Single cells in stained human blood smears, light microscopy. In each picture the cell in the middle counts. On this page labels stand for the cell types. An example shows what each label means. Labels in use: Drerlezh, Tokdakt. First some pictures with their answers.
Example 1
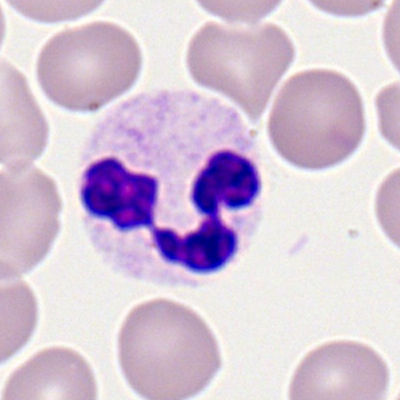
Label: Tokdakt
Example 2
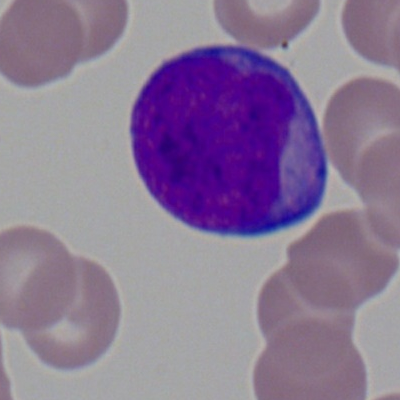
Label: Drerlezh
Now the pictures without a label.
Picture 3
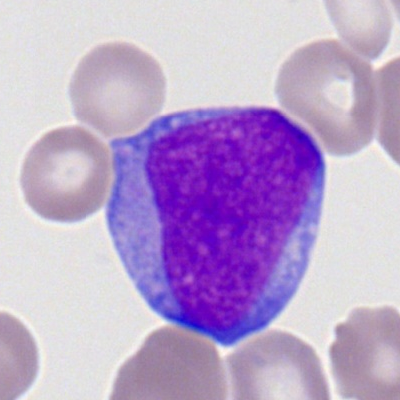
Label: Drerlezh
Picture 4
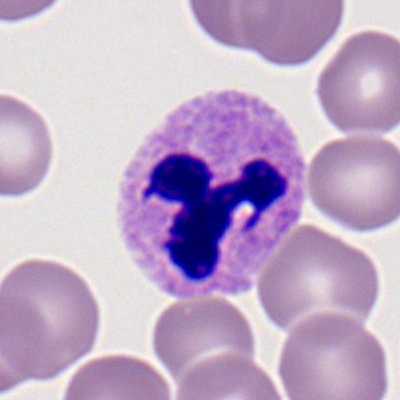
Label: Tokdakt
